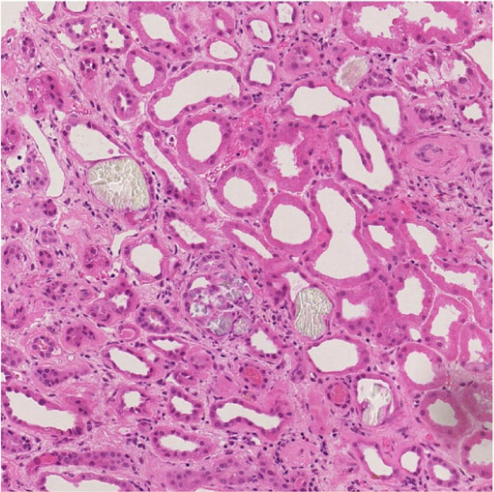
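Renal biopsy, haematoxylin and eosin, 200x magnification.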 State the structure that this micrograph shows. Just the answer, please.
Oxalate crystals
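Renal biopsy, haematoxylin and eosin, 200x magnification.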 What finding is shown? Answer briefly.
Acute tubular injury.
